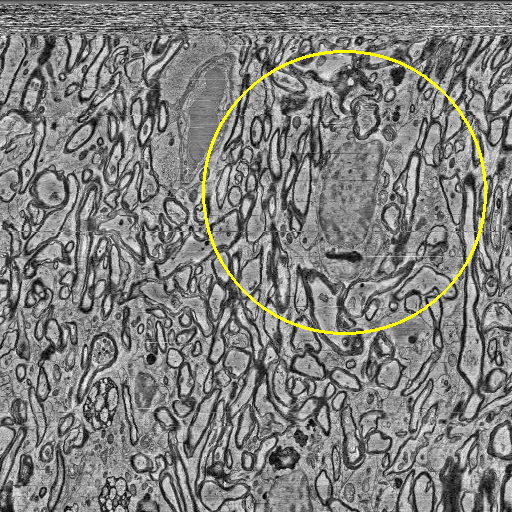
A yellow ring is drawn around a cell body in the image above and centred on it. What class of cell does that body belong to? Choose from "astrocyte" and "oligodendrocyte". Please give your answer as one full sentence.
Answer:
The yellow ring above is centred on the cell body of an oligodendrocyte.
